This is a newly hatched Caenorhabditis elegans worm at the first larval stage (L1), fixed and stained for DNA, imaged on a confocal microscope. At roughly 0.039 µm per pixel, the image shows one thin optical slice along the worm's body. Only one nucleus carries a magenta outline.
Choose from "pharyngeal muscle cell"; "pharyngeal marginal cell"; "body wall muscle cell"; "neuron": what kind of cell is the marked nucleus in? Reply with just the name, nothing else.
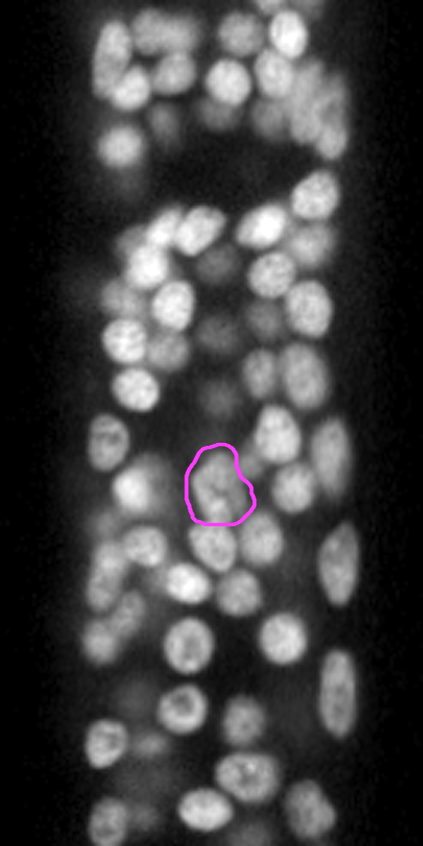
pharyngeal marginal cell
